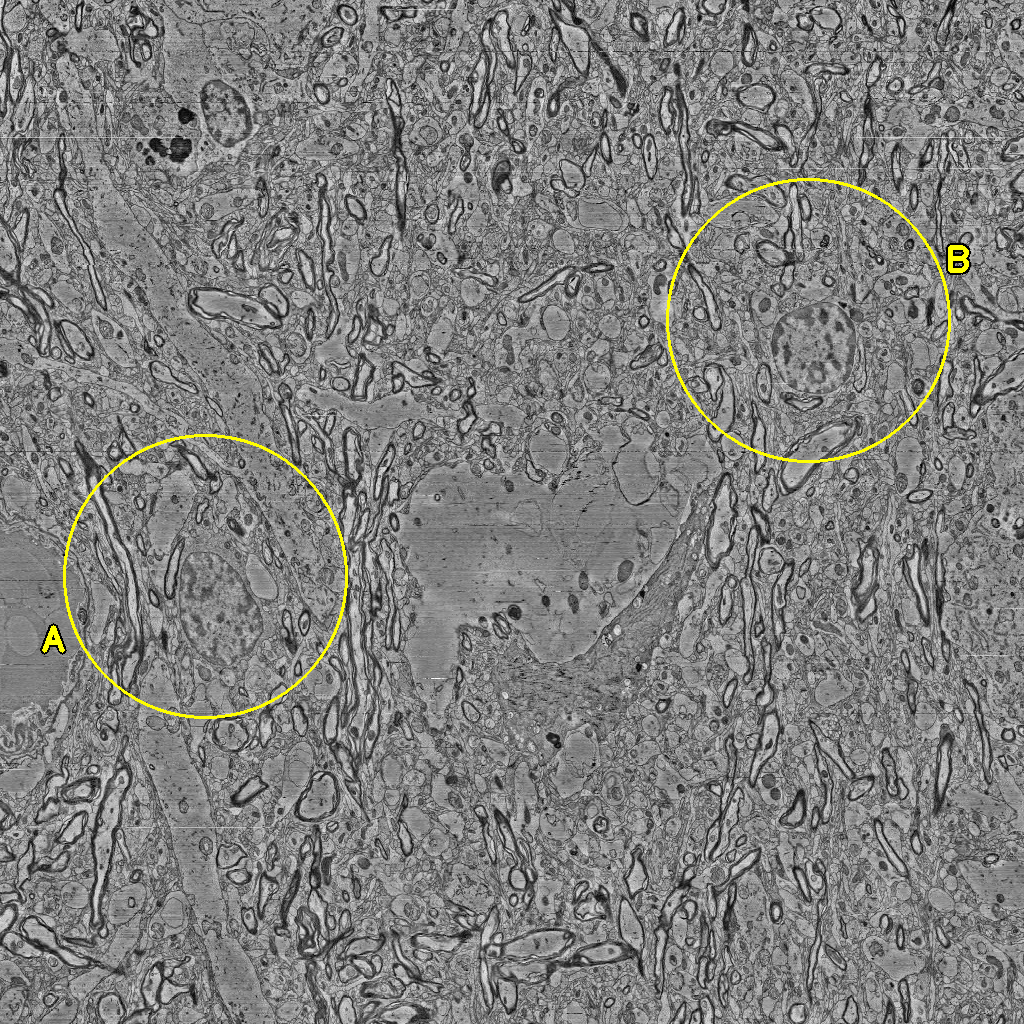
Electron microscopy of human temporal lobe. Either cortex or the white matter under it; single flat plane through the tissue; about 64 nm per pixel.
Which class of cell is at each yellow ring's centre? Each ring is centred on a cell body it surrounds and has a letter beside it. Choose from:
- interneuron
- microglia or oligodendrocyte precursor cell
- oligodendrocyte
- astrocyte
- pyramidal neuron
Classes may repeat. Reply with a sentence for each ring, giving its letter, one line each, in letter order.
The ring lettered A is centred on an oligodendrocyte.
The ring lettered B is centred on a microglial cell or oligodendrocyte precursor cell.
